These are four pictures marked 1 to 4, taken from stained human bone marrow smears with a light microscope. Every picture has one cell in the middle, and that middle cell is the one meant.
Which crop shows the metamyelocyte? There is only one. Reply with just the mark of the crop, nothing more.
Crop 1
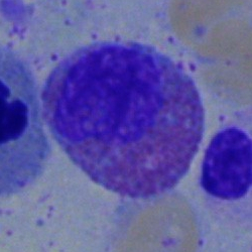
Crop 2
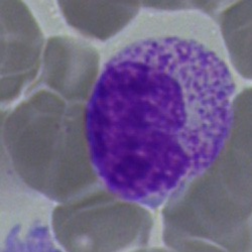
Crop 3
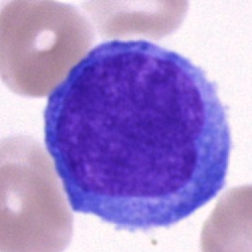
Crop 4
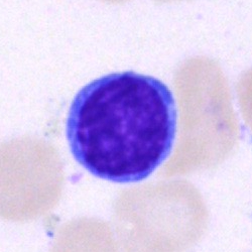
2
